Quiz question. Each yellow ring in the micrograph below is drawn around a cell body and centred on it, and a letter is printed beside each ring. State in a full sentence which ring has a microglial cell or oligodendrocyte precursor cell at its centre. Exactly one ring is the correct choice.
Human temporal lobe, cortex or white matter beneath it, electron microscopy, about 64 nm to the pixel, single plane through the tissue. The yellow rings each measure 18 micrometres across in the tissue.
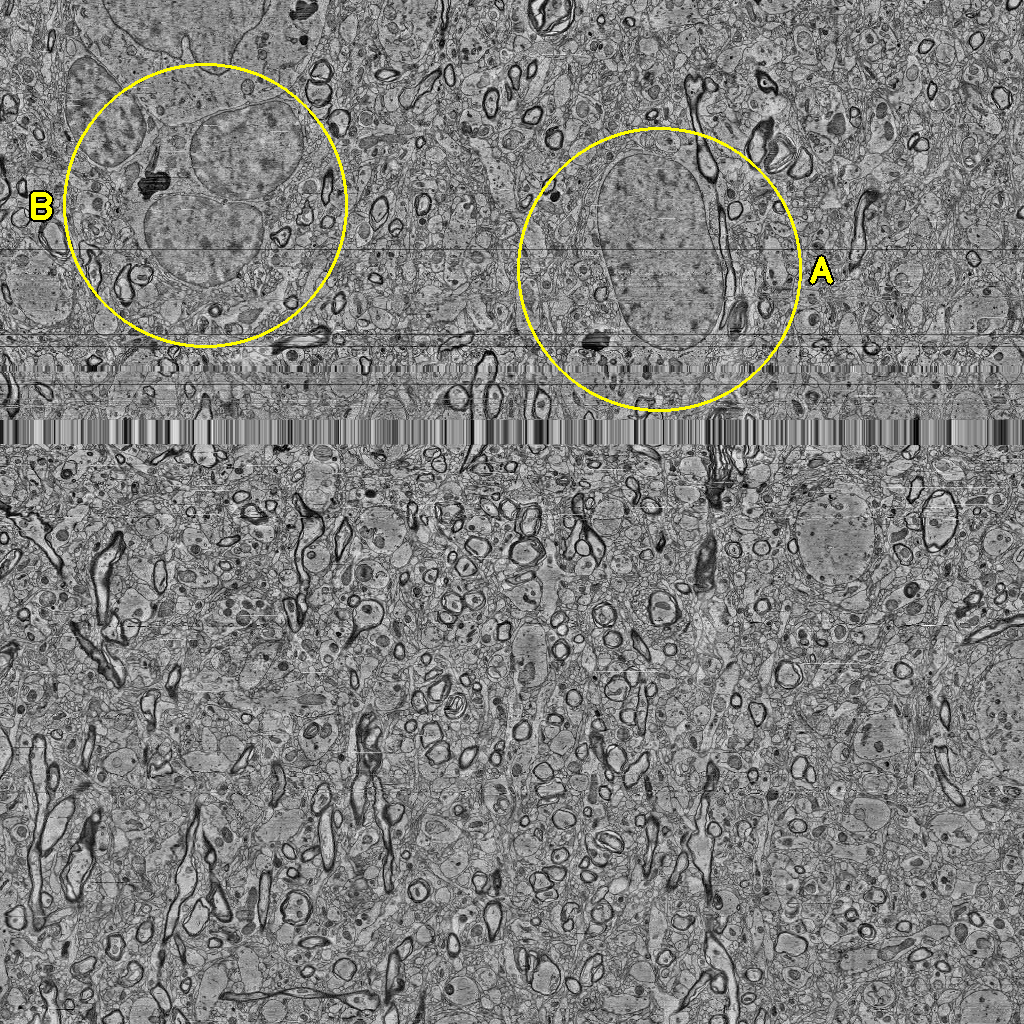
The correct ring is ring A.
